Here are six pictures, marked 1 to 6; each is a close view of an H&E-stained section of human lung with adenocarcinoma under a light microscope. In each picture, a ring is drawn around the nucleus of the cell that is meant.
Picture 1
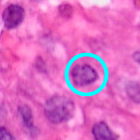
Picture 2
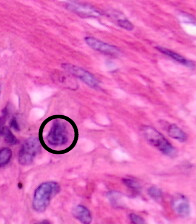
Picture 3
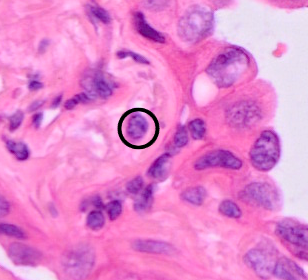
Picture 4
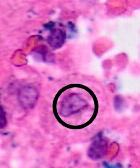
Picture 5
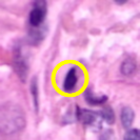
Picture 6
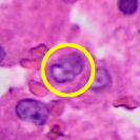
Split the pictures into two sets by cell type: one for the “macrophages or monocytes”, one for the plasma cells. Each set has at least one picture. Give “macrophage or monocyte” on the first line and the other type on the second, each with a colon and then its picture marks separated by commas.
macrophage or monocyte: 1, 4, 6
plasma cell: 2, 3, 5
